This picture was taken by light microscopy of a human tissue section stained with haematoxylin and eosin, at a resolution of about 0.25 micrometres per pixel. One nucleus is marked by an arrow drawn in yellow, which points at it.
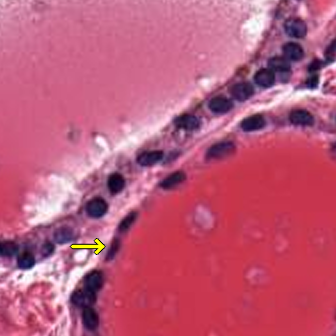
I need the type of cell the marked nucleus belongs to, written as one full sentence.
The mark identifies the nucleus of a thyroid follicular cell.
